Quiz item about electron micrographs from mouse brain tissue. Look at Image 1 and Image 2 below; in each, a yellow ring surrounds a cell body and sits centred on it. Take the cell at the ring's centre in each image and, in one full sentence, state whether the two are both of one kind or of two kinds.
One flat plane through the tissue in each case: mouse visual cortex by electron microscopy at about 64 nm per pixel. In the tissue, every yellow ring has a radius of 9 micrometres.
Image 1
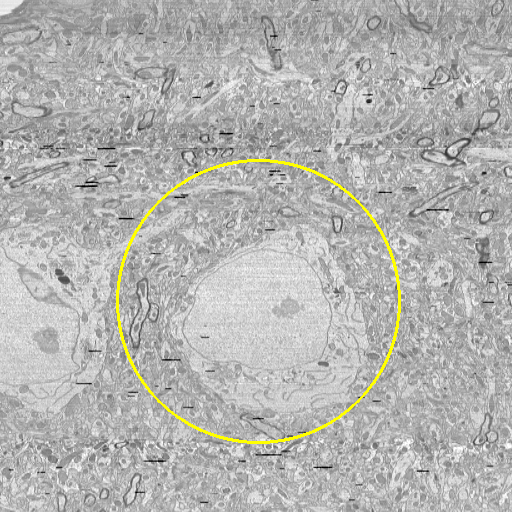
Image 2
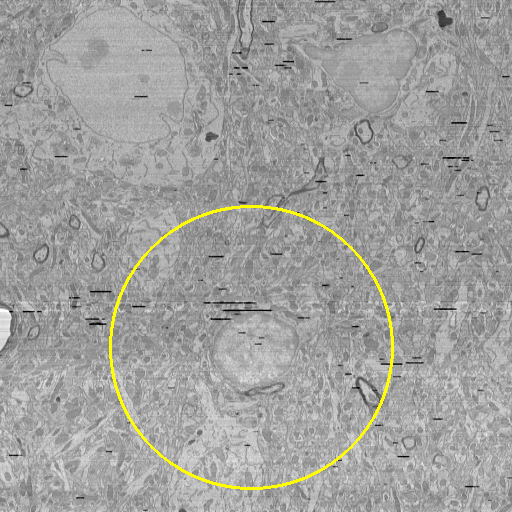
In Image 1 and Image 2, the cells at the ring centres are of two kinds.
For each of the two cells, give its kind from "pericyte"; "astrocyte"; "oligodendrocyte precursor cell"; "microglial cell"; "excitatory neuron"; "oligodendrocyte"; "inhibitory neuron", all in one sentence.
The first picture has an excitatory neuron in its ring, the second has an oligodendrocyte.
